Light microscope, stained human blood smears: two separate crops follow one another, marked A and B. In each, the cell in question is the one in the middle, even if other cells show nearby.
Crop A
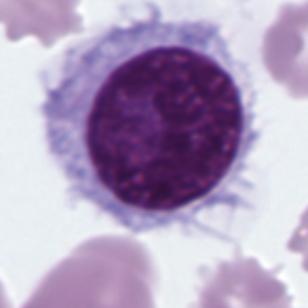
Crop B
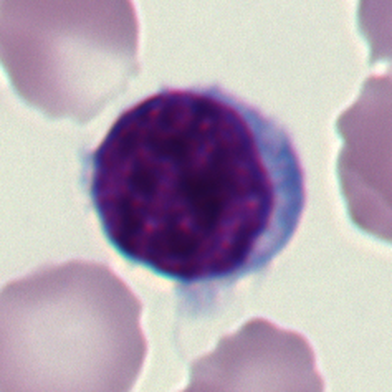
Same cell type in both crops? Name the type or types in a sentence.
Yes, hairy cells are depicted in both crops.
